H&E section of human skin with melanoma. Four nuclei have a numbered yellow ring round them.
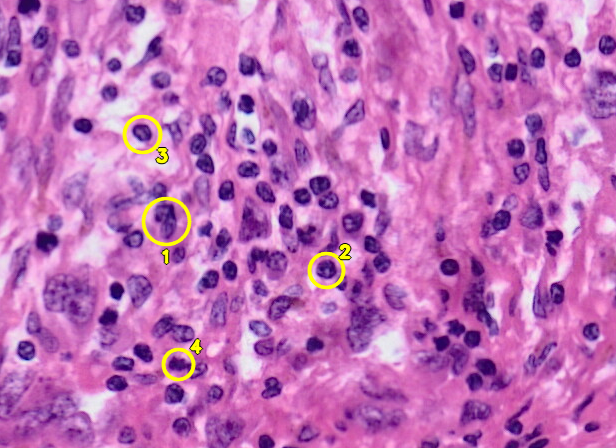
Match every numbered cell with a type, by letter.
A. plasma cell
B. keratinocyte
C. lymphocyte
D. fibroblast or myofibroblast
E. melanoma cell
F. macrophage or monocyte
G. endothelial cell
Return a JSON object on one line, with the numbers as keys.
{"1": "A", "2": "C", "3": "C", "4": "C"}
